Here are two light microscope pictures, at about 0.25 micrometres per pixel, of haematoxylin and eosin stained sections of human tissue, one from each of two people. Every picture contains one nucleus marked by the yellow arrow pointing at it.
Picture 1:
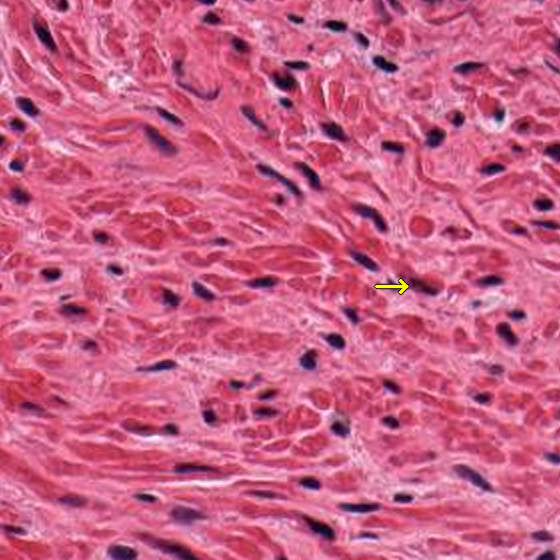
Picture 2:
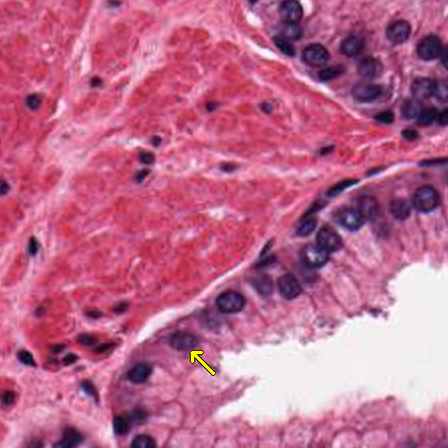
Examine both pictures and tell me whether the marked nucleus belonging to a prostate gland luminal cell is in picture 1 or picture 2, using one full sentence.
In picture 2 there is a marked nucleus, and it belongs to a prostate gland luminal cell.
